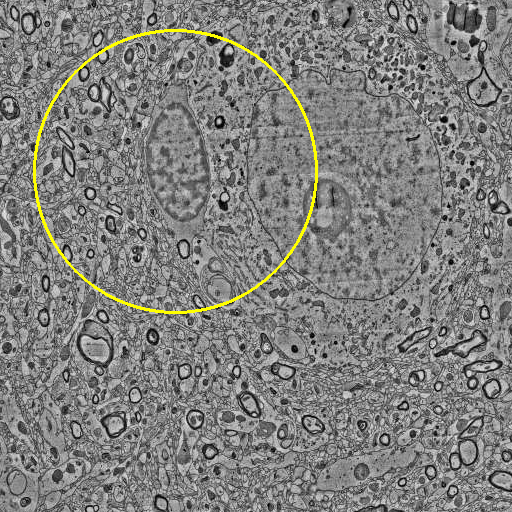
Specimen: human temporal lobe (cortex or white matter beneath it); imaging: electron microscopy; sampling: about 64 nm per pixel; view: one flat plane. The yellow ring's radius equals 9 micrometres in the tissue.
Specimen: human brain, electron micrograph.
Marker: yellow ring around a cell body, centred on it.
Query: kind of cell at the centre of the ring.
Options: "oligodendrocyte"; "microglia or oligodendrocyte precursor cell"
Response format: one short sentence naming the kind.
This cell body belongs to an oligodendrocyte.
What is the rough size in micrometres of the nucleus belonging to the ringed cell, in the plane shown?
In this plane the nucleus is clearly longer than it is wide, at approximately 6 by 4 micrometres.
